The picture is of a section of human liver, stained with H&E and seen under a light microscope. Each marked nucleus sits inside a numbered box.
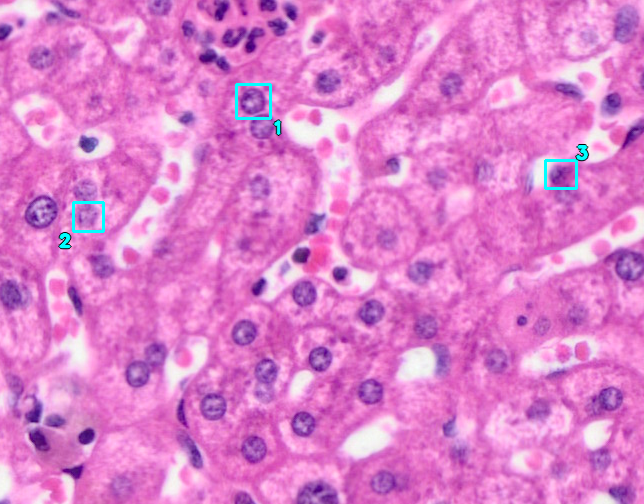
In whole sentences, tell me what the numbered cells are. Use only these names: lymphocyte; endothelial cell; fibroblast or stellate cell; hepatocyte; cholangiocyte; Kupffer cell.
Cell 1 is a hepatocyte, cell 2 is a hepatocyte and cell 3 is a Kupffer cell.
